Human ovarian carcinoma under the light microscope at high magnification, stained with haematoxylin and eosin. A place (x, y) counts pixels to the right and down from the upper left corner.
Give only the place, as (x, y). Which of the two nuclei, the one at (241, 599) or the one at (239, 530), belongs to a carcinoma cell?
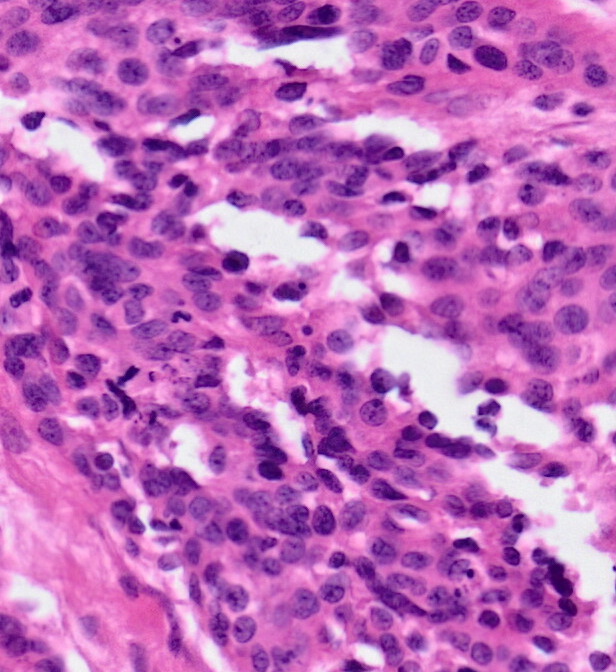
(239, 530)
